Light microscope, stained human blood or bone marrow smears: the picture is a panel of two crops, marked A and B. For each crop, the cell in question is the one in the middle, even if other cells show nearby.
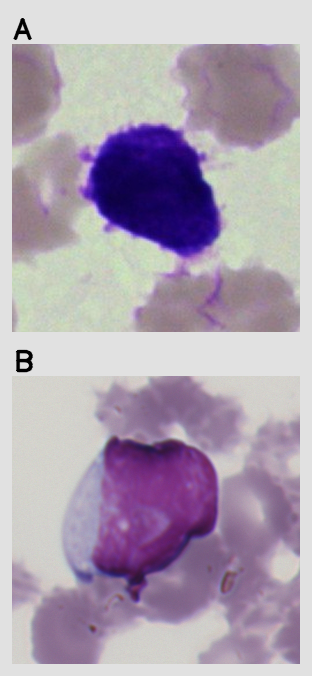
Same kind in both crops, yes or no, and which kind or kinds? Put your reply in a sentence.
Yes, the middle cells in the two crops are blasts.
